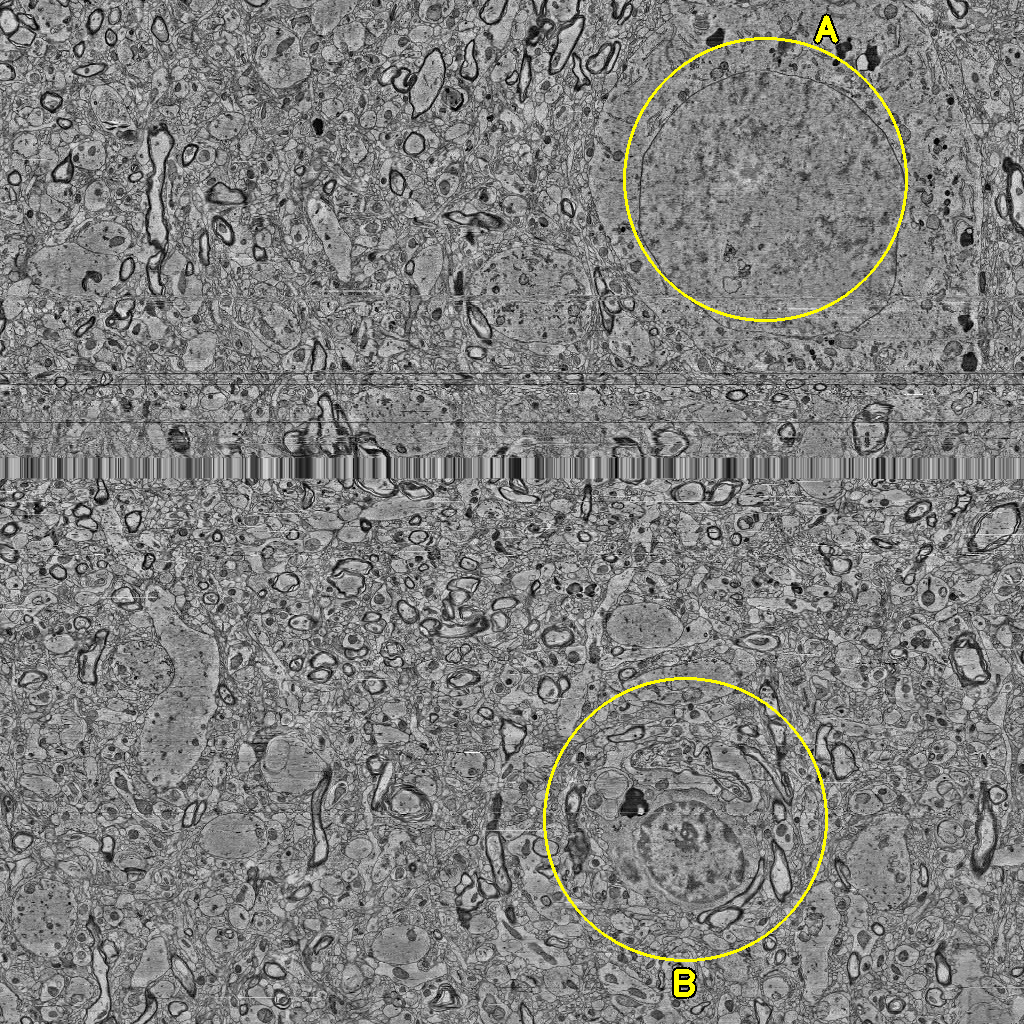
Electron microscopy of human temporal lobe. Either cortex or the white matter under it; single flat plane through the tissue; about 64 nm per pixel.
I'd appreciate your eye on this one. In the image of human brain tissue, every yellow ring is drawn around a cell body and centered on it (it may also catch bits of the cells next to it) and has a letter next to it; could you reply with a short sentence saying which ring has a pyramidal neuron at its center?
Ring A is centered on it.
